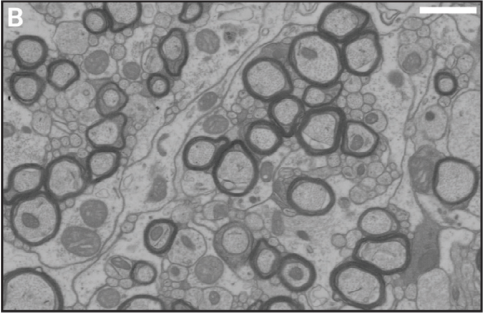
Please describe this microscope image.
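Inside several axons, small organelles such as mitochondria can be made out against a pale axoplasm. Between the myelinated fibres lie numerous smaller pale profiles without a dark ring, likely unmyelinated axons, together with thin glial processes and membranes running through the field. The myelinated fibres cluster in groups separated by this paler neuropil.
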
